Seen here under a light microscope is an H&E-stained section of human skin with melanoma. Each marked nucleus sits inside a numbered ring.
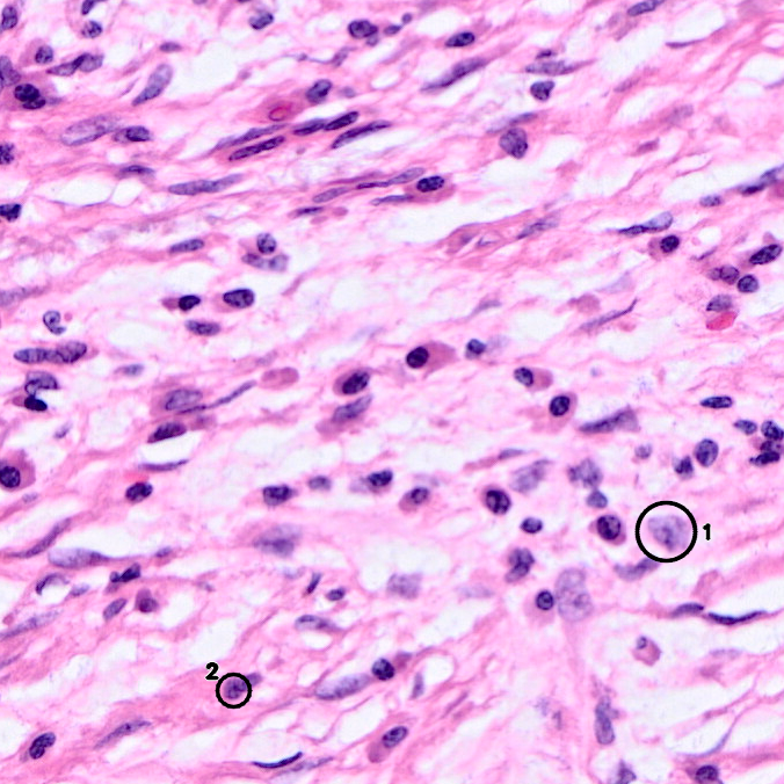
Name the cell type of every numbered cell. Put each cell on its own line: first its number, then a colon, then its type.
1: fibroblast or myofibroblast
2: macrophage or monocyte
